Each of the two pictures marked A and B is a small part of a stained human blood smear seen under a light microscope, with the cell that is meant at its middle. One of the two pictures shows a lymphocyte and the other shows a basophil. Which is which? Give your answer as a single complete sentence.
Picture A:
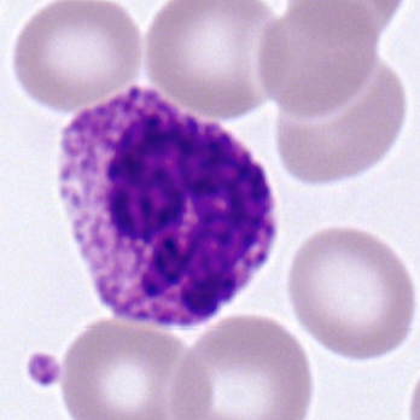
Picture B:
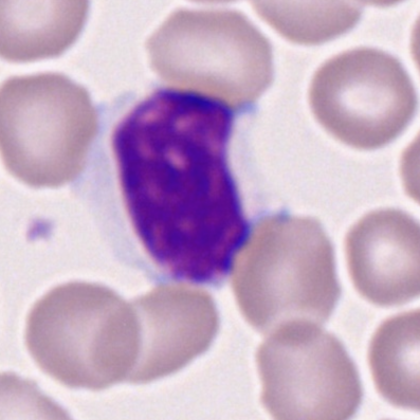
In picture A the cell is a basophil; in picture B, a lymphocyte.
